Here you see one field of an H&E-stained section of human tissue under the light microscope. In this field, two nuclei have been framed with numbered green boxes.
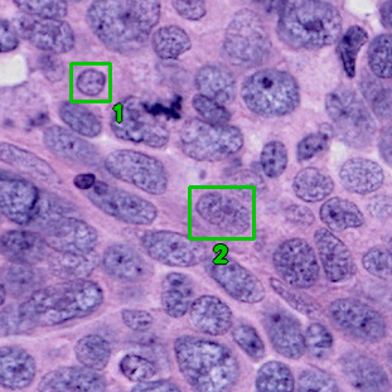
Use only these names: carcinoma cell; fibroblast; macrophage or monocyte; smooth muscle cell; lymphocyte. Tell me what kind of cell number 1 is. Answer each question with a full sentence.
The cell that bears the number 1 is a macrophage or monocyte.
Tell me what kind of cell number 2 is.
Cell 2 is classified as a carcinoma cell.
